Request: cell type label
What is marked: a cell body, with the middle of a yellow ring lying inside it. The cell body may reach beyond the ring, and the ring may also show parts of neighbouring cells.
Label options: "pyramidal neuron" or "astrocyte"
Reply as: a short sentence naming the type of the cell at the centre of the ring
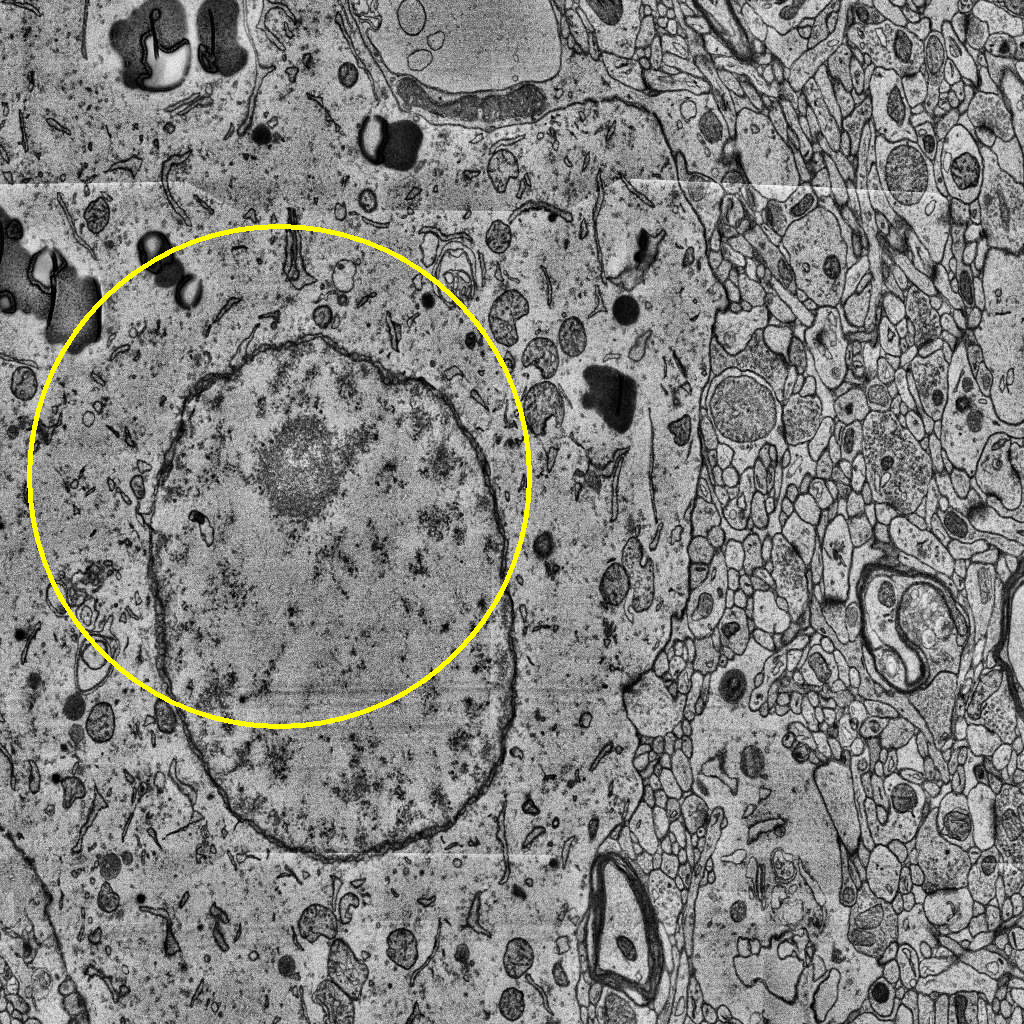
The marked cell body is that of a pyramidal neuron.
